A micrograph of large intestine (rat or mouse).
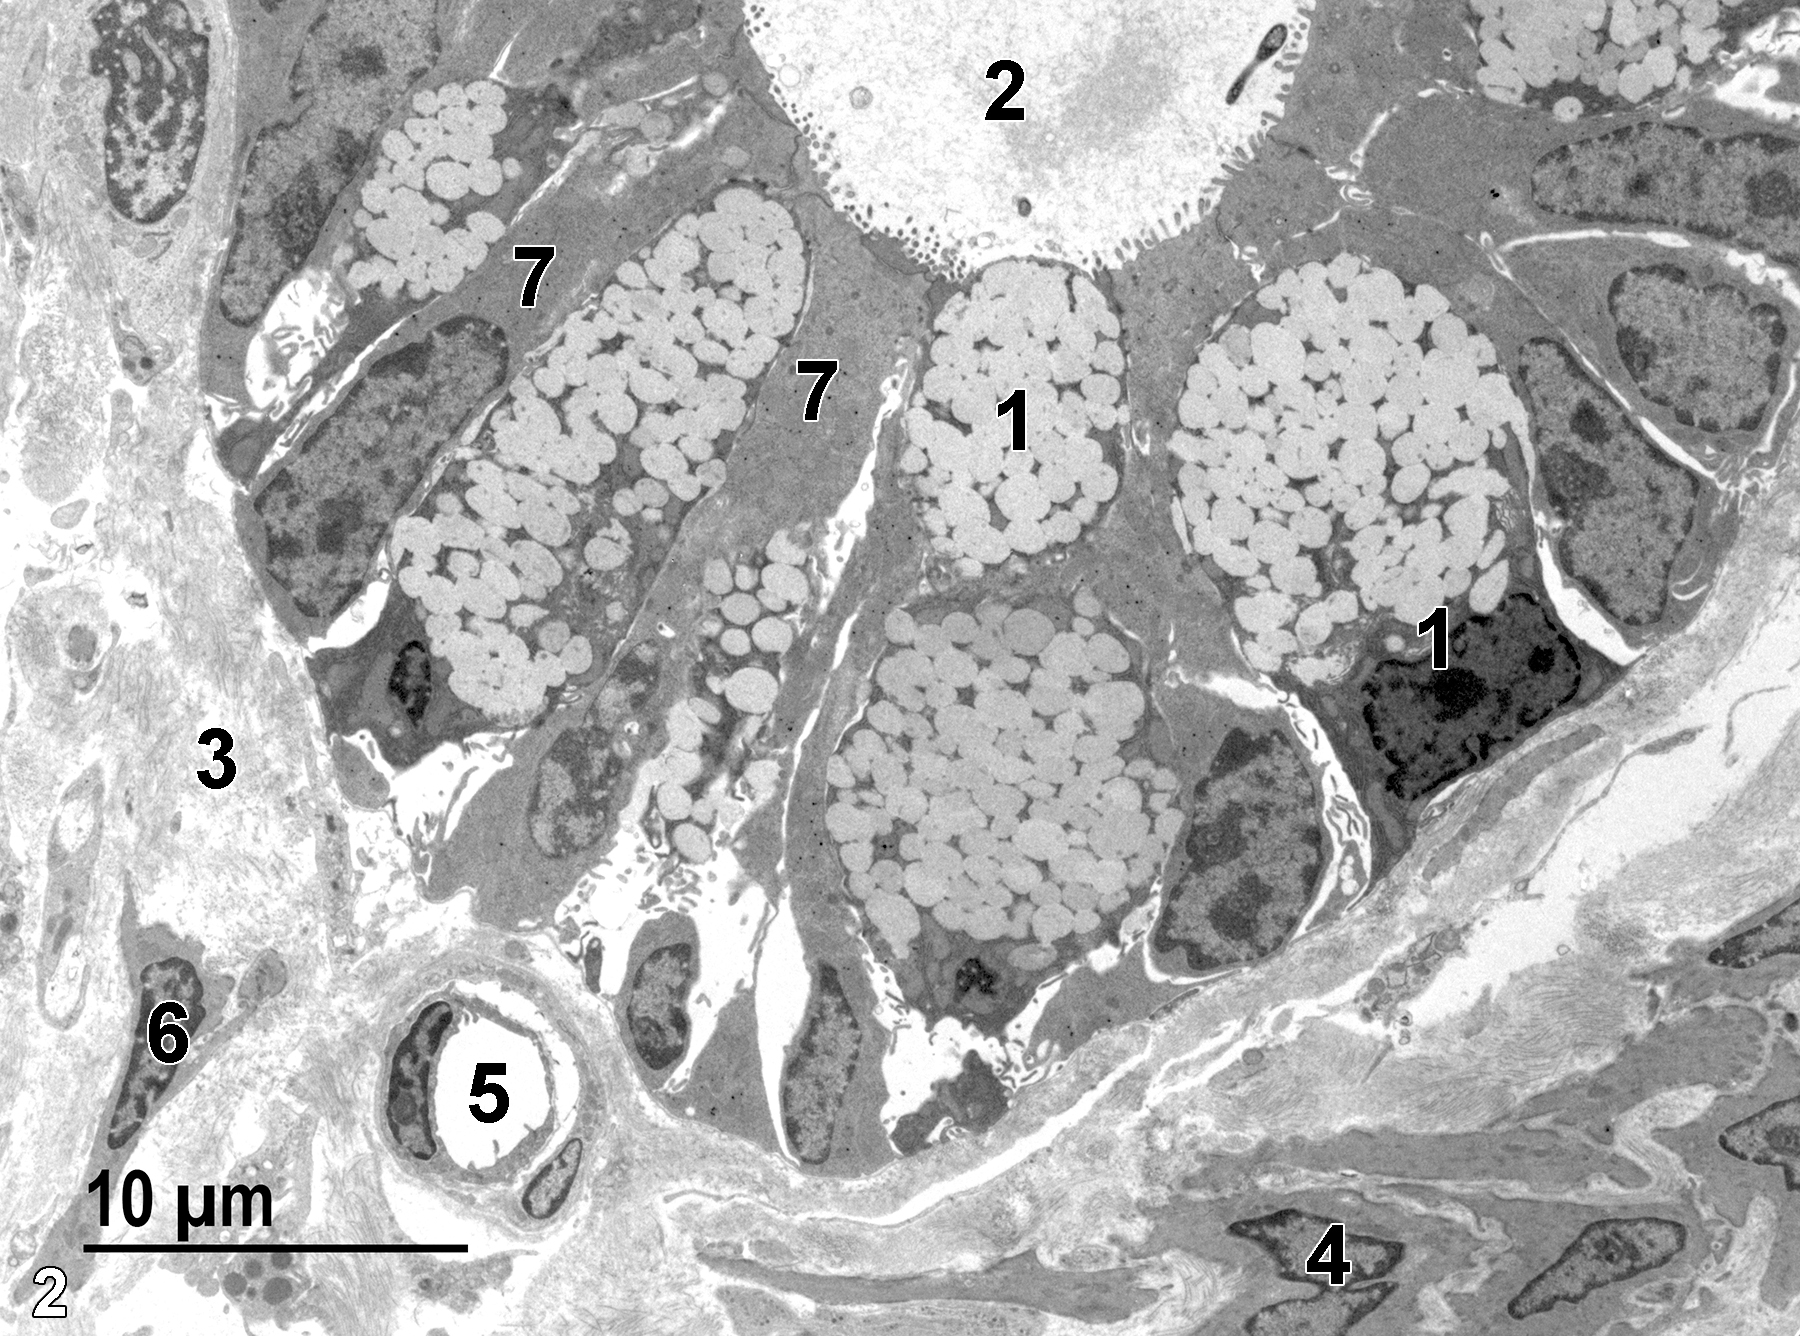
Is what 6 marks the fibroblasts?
Yes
